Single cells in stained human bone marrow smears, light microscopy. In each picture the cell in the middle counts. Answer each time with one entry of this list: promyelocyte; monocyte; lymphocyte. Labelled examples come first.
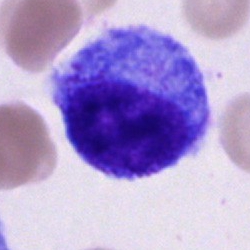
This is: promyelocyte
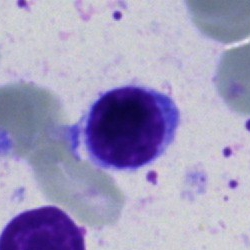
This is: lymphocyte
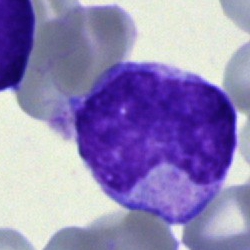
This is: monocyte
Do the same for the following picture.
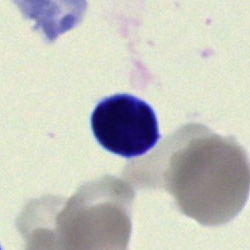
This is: lymphocyte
